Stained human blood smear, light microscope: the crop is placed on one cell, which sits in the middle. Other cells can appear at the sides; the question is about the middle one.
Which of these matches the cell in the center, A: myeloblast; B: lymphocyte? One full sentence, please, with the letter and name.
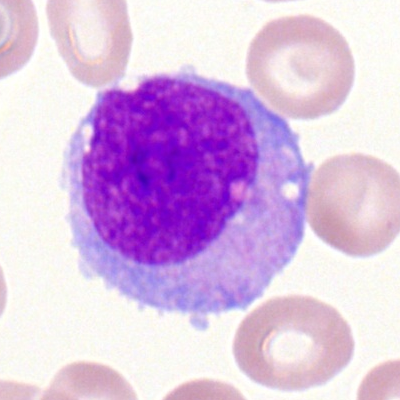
What sits in the middle of the crop is a myeloblast, and option A is correct.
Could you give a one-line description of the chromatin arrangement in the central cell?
Thanks for asking; the chromatin is coarsely clumped.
